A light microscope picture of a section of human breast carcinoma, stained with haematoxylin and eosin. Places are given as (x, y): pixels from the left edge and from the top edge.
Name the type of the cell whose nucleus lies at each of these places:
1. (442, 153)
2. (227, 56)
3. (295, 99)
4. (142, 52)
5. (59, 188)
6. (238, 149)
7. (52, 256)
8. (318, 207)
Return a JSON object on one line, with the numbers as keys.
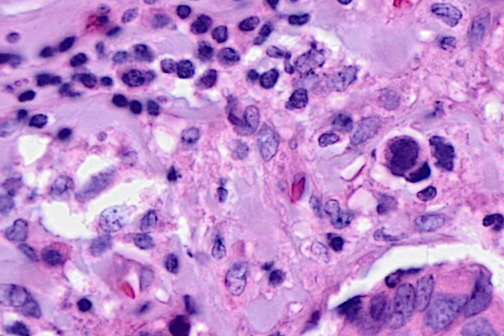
{"1": "carcinoma cell", "2": "lymphocyte", "3": "lymphocyte", "4": "lymphocyte", "5": "macrophage, monocyte or dendritic cell", "6": "macrophage, monocyte or dendritic cell", "7": "mast cell", "8": "endothelial cell"}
